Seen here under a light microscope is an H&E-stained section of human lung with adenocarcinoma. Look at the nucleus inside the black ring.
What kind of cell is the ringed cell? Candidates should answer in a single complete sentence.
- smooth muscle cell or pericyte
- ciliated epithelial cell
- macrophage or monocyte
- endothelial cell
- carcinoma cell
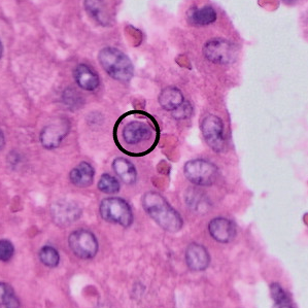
In this section, the ringed cell is a macrophage or monocyte.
